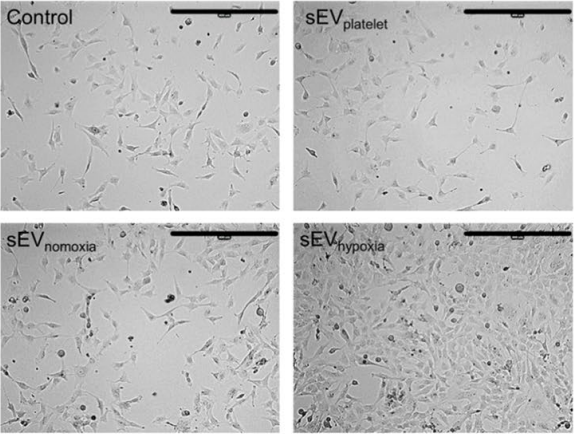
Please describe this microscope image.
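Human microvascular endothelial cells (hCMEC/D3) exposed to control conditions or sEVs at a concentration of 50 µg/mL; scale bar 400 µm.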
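The cells are flattened and irregular, ranging from elongated spindle shapes with thin tapering processes to broader polygonal forms. In three of the fields the cells lie scattered, with wide bare spaces between them.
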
